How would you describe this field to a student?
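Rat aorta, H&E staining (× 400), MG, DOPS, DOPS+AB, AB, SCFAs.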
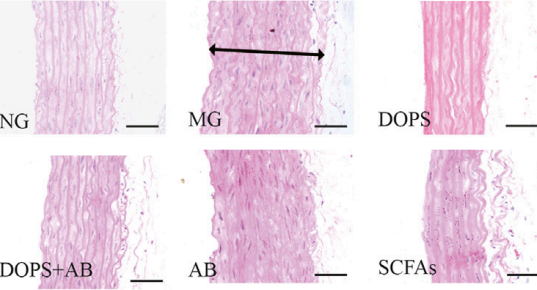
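Along one side of the wall lies a looser, paler layer of wispy connective tissue. In one of the sections a two-headed arrow is drawn across the layered wall to show its full thickness.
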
